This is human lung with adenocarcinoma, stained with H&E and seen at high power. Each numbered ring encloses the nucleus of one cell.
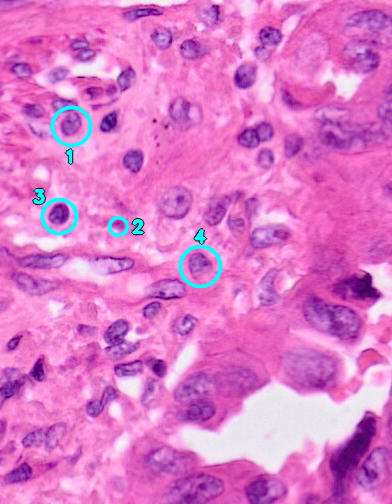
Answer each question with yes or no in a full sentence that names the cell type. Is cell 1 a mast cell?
Yes, the cell distinguished by number 1 is a mast cell.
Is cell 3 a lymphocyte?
Yes, cell number 3 is identified here as a lymphocyte.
